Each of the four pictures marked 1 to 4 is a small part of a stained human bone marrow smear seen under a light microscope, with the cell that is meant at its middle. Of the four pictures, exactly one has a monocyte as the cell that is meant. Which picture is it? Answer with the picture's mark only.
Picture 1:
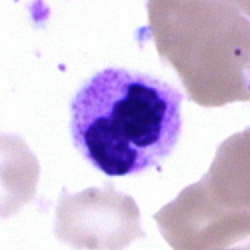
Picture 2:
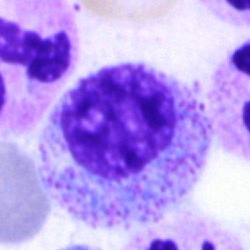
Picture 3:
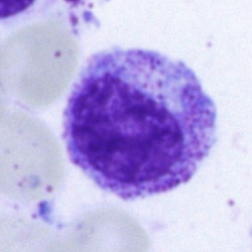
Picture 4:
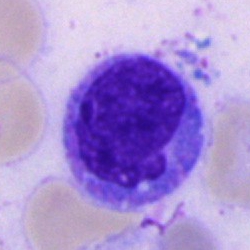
4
